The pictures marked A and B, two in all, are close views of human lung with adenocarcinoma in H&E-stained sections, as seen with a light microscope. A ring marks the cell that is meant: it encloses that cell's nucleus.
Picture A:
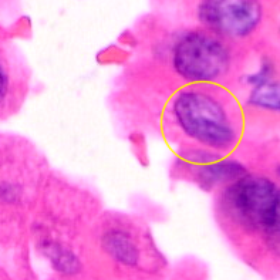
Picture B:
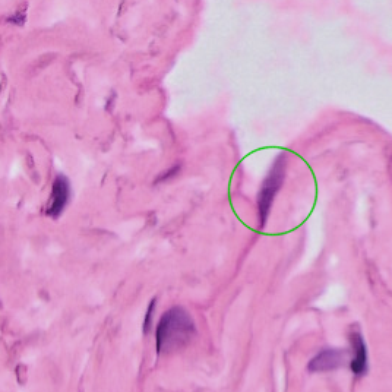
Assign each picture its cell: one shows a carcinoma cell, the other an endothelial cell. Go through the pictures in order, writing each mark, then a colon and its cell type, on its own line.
A: carcinoma cell
B: endothelial cell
